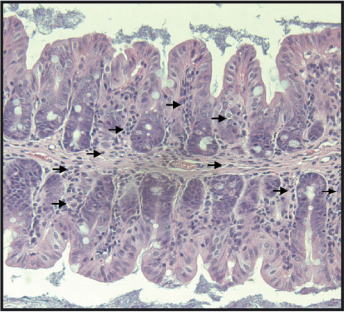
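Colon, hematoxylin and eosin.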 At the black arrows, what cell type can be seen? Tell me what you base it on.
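Immune cells. The arrows point to small dark nuclei scattered in the connective tissue between glands. The marked cells are not part of the columnar epithelium.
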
